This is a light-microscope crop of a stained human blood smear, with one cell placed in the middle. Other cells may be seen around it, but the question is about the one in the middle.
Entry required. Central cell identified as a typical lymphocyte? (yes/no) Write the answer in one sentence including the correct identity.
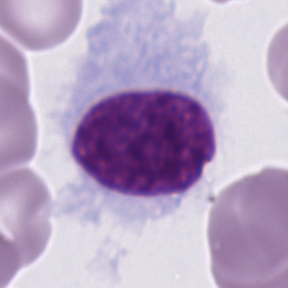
No, the centre of the crop contains a hairy cell rather than a typical lymphocyte.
